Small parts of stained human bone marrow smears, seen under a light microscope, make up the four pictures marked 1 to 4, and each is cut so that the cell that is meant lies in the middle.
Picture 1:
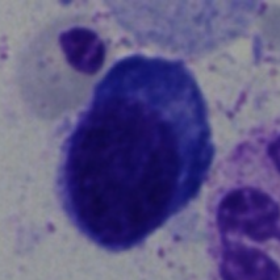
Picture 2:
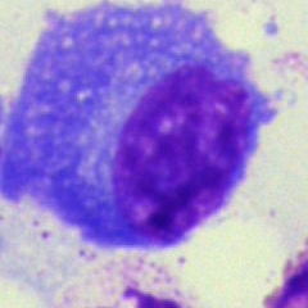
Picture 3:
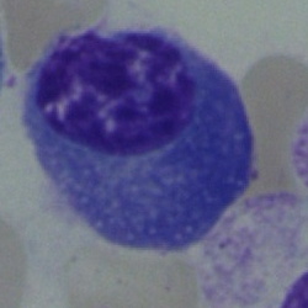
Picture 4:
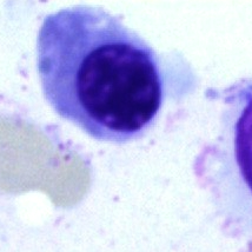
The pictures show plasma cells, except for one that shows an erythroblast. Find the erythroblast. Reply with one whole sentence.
The cell in picture 4 is the erythroblast.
